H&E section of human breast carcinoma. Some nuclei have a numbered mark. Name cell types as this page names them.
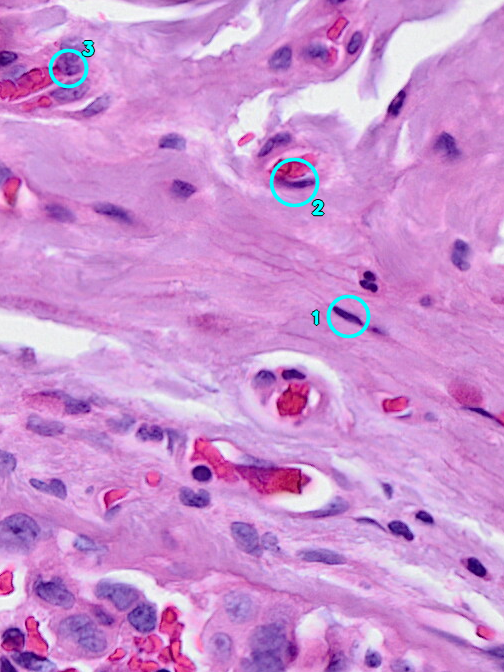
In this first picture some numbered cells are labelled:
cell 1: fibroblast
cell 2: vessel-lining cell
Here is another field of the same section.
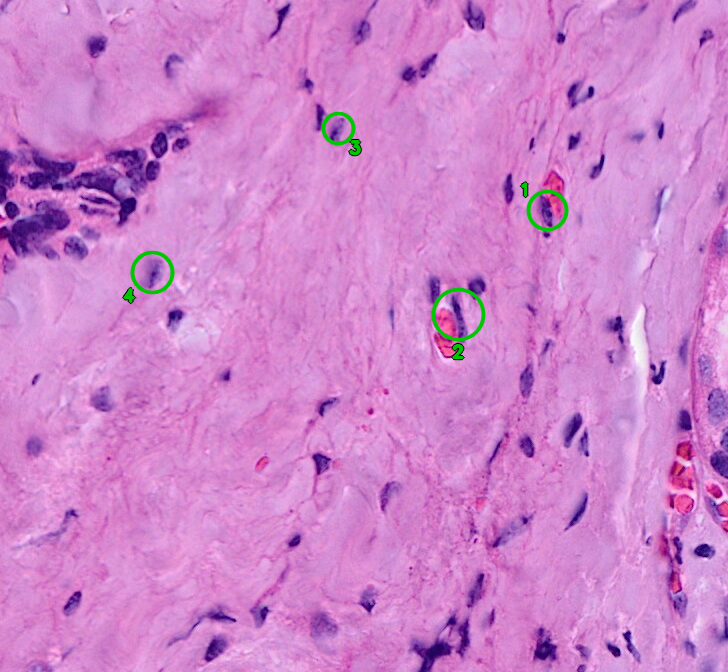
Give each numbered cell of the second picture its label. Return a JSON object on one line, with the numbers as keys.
{"1": "vessel-lining cell", "2": "vessel-lining cell", "3": "fibroblast", "4": "fibroblast"}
